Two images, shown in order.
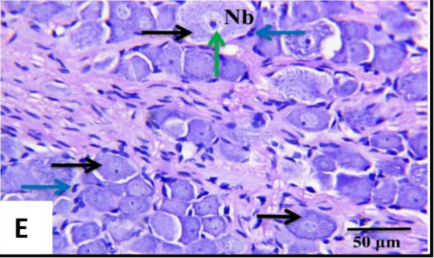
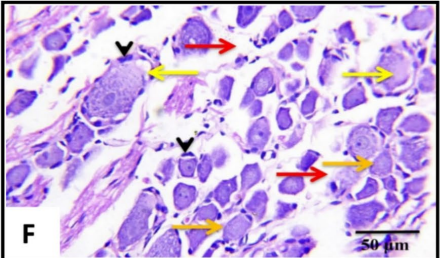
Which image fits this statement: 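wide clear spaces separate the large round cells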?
The second image.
